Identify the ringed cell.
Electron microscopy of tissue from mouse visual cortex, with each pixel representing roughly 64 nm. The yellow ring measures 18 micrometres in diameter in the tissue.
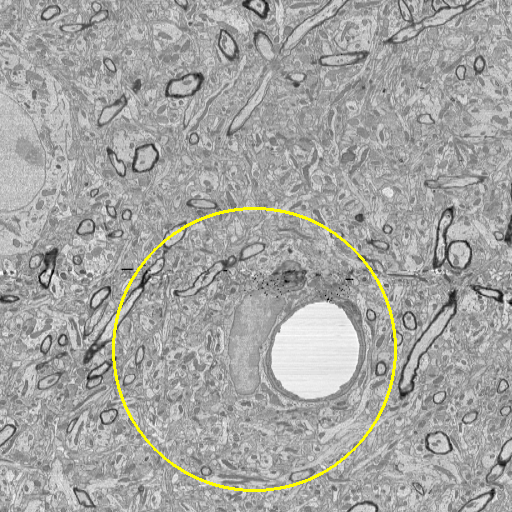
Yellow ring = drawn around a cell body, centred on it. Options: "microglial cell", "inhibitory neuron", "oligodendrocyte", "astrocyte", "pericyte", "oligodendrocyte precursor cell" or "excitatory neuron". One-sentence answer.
What the ring is centred on is a microglial cell.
